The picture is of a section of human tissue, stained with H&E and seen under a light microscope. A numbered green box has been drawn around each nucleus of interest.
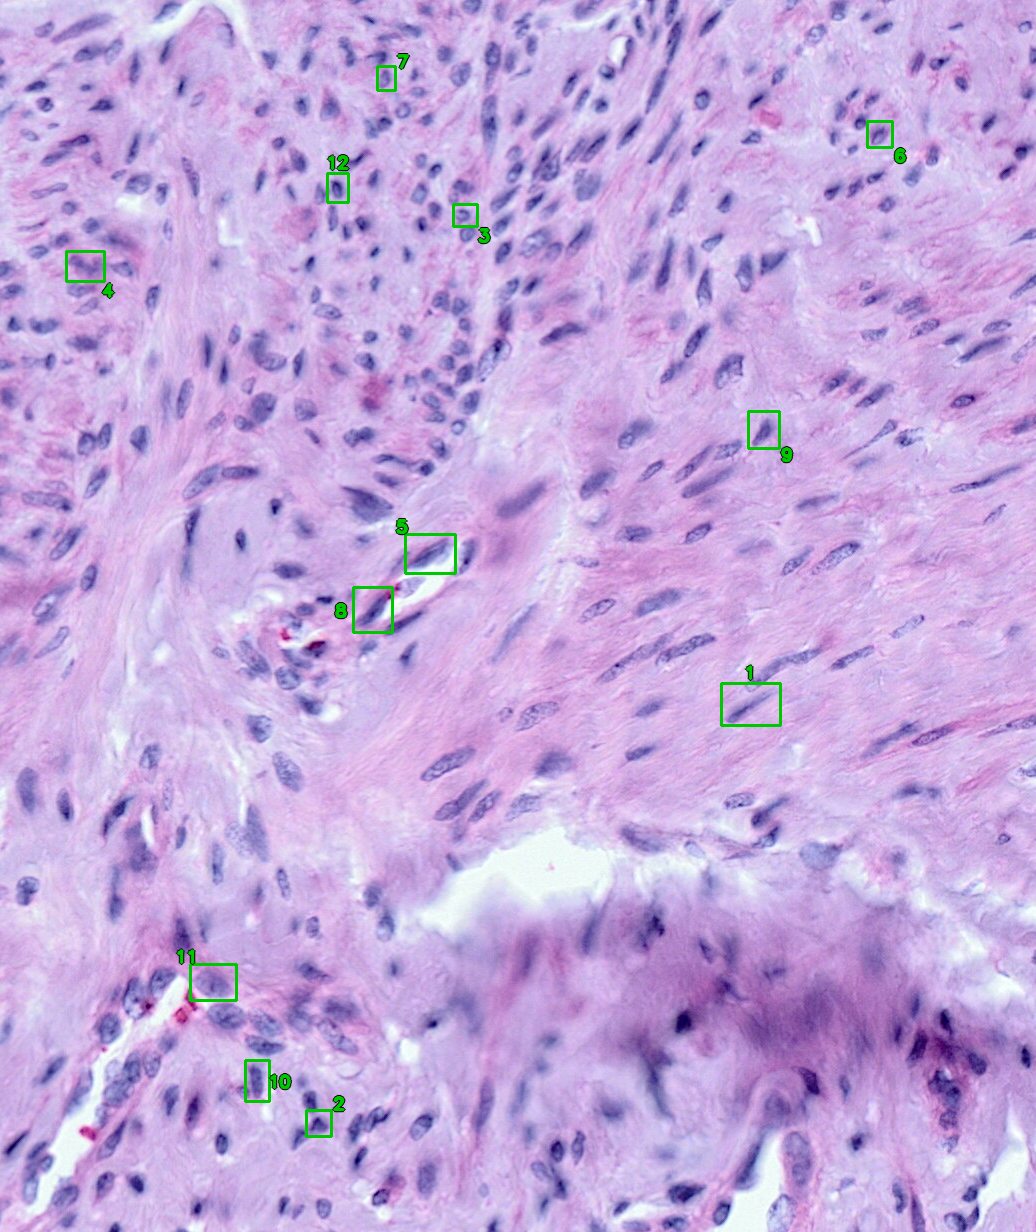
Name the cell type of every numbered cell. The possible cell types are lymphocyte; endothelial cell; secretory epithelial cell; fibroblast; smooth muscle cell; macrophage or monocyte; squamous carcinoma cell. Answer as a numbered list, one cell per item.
1. fibroblast
2. fibroblast
3. smooth muscle cell
4. smooth muscle cell
5. endothelial cell
6. smooth muscle cell
7. smooth muscle cell
8. endothelial cell
9. fibroblast
10. fibroblast
11. endothelial cell
12. fibroblast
